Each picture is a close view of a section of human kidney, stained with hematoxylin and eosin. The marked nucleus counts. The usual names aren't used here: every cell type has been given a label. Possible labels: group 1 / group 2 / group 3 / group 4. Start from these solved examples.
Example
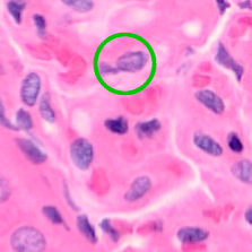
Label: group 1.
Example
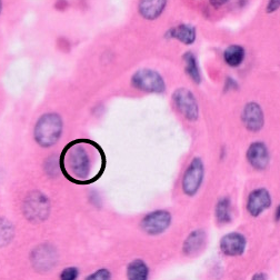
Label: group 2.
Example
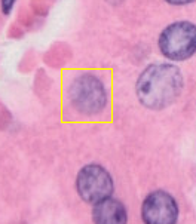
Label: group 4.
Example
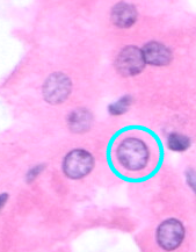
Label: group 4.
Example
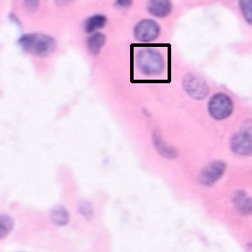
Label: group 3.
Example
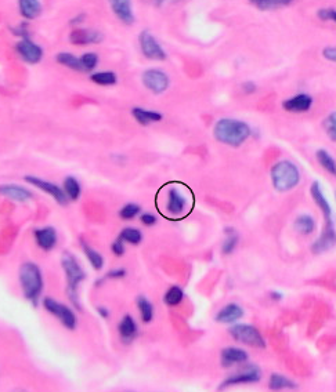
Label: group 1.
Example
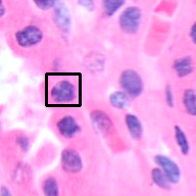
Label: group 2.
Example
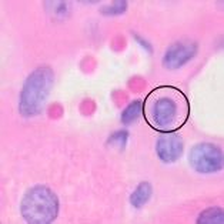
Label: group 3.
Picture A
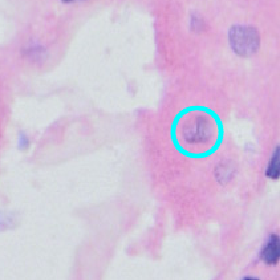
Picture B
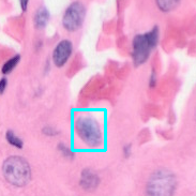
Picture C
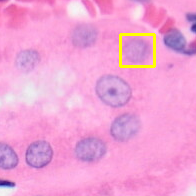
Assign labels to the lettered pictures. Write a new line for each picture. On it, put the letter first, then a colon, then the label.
A: group 4.
B: group 1.
C: group 4.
